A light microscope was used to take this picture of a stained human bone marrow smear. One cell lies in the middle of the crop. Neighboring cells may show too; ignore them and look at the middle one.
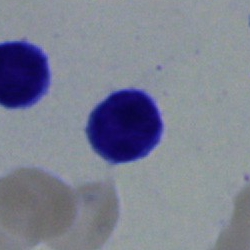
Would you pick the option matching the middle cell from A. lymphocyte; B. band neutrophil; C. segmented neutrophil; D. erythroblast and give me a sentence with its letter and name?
The cell positioned centrally is a lymphocyte, as given in option A, which is correct.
